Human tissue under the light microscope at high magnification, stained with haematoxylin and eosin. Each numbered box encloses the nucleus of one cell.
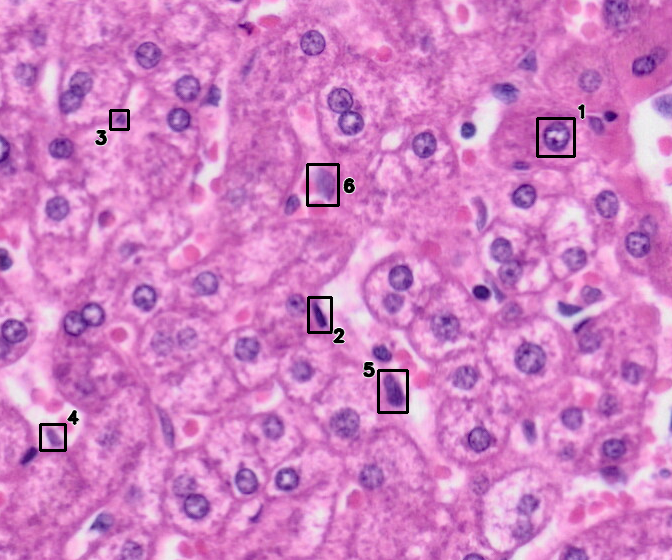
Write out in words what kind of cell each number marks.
Cell 1 is a hepatocyte, cell 2 is a fibroblast or stellate cell, cell 3 is a fibroblast or stellate cell, cell 4 is a Kupffer cell, cell 5 is a Kupffer cell and cell 6 is an endothelial cell.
